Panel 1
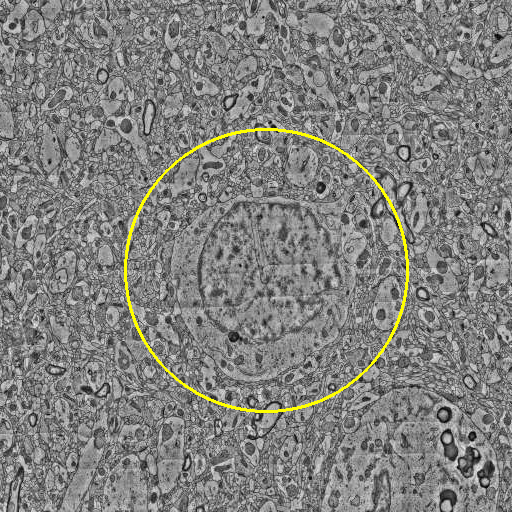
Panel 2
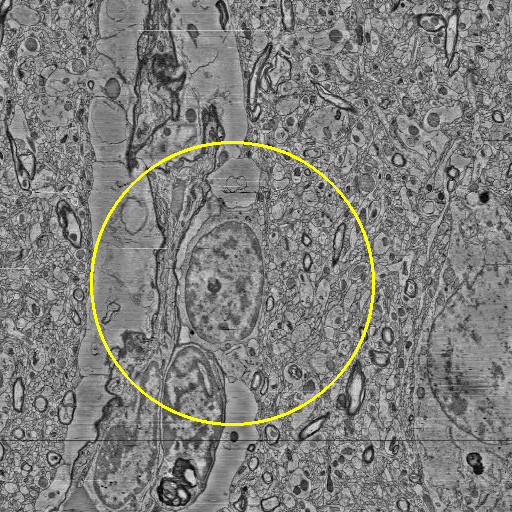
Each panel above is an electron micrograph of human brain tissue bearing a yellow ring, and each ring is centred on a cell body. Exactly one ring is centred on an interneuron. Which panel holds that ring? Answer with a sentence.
That ring is in Panel 1.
